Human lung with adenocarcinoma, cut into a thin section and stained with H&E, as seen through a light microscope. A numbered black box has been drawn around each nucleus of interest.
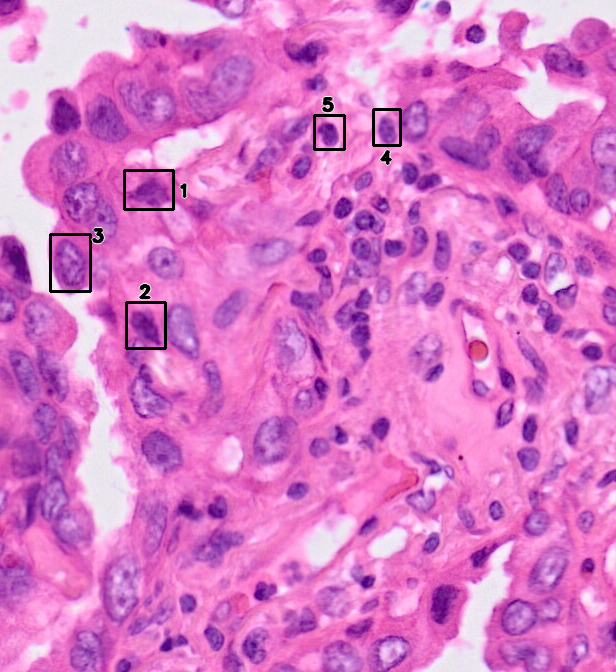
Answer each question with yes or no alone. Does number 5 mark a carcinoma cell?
no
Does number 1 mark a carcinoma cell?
yes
